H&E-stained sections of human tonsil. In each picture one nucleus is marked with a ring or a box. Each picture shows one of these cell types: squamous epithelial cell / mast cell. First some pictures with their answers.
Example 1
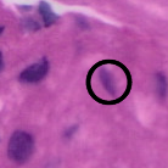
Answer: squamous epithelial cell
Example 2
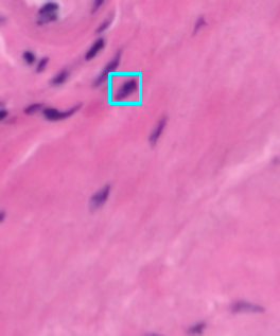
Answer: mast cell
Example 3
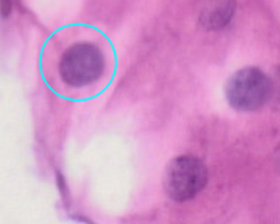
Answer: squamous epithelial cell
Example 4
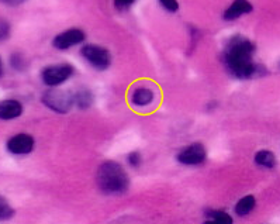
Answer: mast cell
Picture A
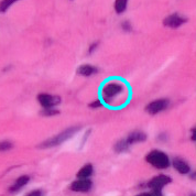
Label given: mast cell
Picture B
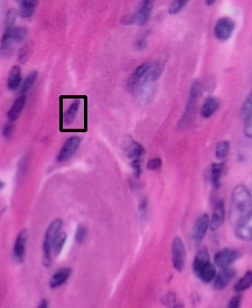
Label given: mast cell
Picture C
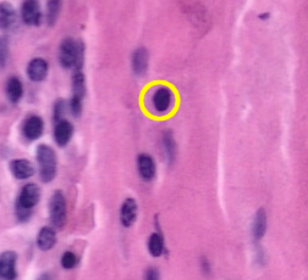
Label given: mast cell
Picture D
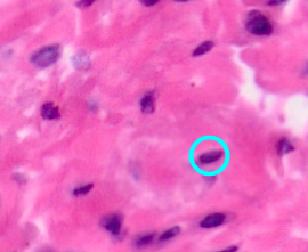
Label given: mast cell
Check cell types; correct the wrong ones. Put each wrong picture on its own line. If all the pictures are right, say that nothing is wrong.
Nothing to fix; every label fits.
